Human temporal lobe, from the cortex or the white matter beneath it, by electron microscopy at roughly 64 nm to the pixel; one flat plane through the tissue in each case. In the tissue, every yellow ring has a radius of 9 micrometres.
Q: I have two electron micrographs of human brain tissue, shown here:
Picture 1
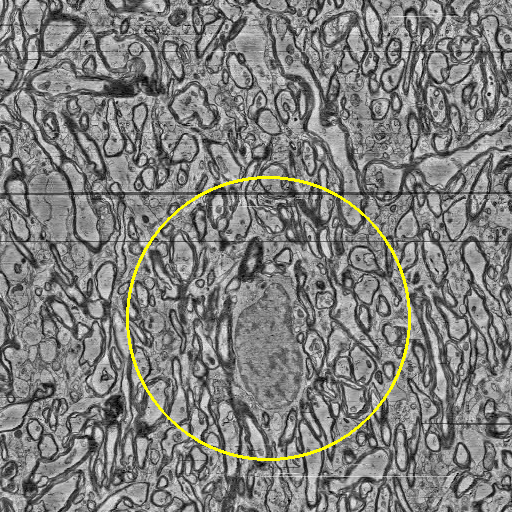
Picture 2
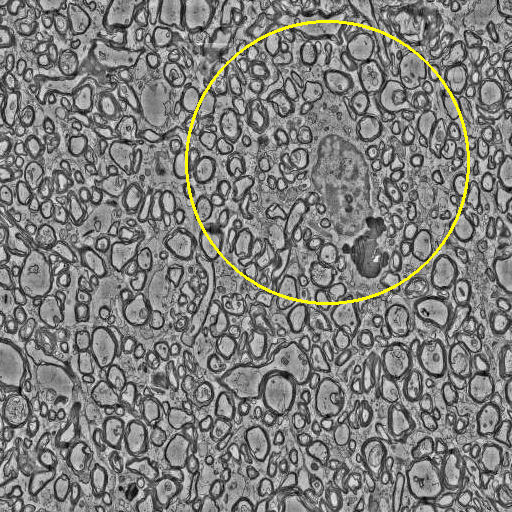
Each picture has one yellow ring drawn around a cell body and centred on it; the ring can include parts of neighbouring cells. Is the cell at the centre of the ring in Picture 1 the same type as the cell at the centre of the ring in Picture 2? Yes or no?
yes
